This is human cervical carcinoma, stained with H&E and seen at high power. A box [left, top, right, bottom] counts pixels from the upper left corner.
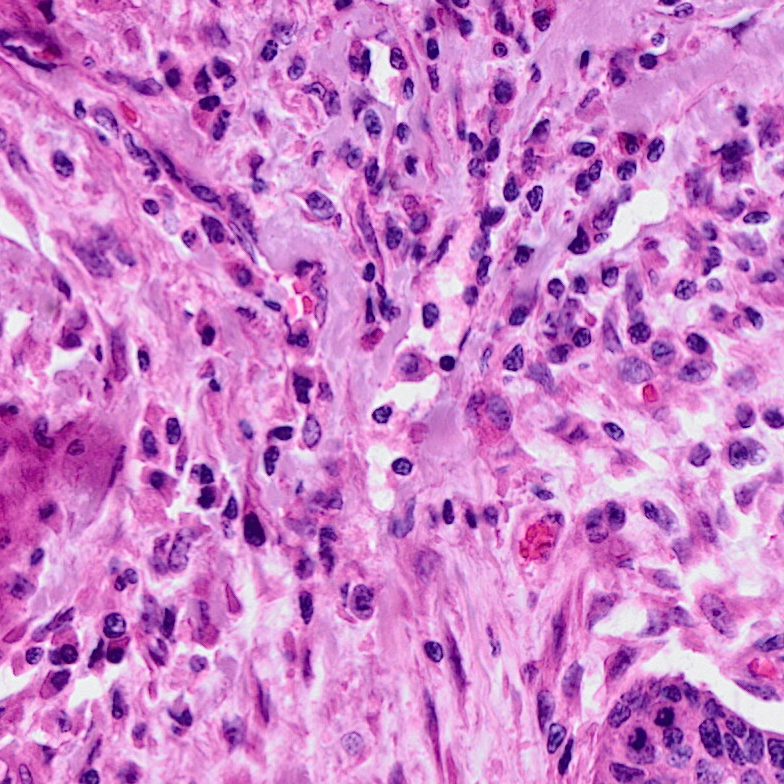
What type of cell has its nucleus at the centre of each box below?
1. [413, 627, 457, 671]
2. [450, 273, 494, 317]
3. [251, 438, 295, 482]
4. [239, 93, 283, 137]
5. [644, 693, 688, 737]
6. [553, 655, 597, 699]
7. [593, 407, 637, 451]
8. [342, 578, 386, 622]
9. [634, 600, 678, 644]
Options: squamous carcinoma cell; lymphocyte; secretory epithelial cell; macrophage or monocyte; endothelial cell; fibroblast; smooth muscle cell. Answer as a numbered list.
1. lymphocyte
2. lymphocyte
3. lymphocyte
4. fibroblast
5. squamous carcinoma cell
6. fibroblast
7. lymphocyte
8. macrophage or monocyte
9. fibroblast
